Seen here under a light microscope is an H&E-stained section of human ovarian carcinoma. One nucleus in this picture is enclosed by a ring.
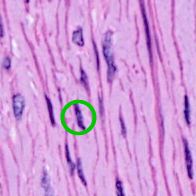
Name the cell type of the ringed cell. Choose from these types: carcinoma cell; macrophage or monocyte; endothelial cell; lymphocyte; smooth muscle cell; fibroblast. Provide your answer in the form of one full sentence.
Assigned to a cell type, the ringed cell is a fibroblast.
